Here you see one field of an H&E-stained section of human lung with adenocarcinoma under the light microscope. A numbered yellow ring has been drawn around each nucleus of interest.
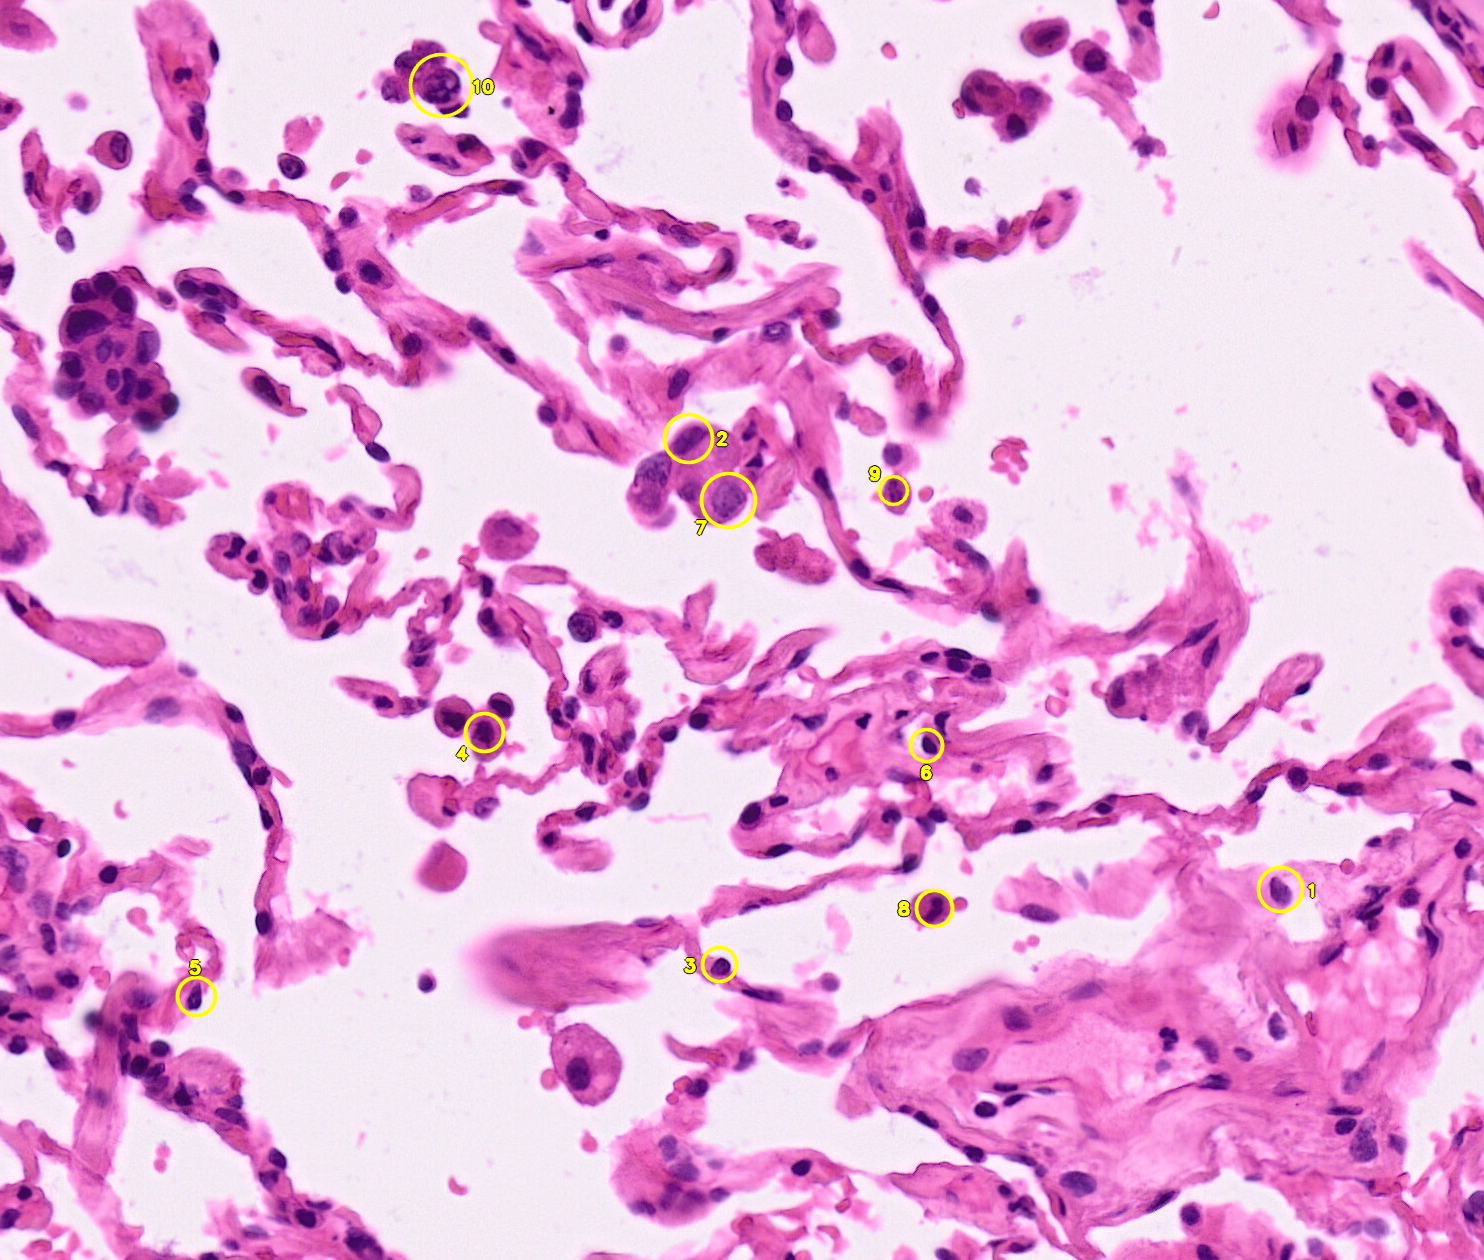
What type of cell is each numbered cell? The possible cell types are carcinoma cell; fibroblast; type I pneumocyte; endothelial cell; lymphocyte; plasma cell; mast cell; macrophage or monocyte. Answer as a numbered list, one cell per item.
1. type I pneumocyte
2. carcinoma cell
3. type I pneumocyte
4. macrophage or monocyte
5. type I pneumocyte
6. type I pneumocyte
7. carcinoma cell
8. macrophage or monocyte
9. macrophage or monocyte
10. carcinoma cell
